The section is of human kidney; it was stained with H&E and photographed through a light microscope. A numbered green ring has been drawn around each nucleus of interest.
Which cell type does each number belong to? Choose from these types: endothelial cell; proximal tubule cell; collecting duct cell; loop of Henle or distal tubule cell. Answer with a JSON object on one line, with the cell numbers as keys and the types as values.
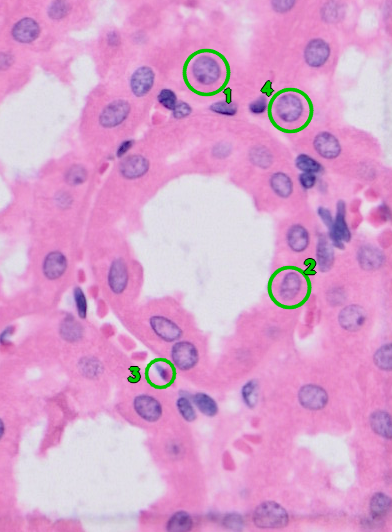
{"1": "proximal tubule cell", "2": "proximal tubule cell", "3": "endothelial cell", "4": "proximal tubule cell"}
